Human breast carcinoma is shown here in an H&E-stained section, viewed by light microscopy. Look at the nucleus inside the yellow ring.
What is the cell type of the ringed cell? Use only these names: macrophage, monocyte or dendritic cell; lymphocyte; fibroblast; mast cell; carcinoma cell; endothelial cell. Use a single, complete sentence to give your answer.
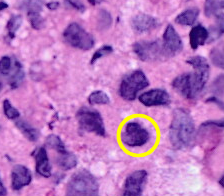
The cell type of the ringed cell is that of a carcinoma cell.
